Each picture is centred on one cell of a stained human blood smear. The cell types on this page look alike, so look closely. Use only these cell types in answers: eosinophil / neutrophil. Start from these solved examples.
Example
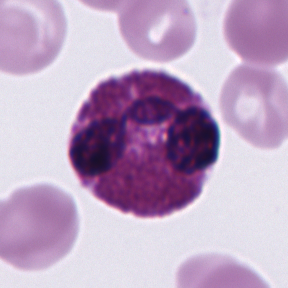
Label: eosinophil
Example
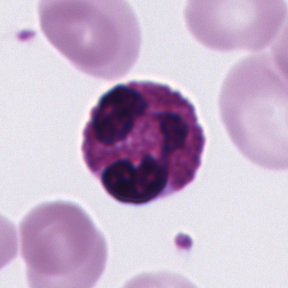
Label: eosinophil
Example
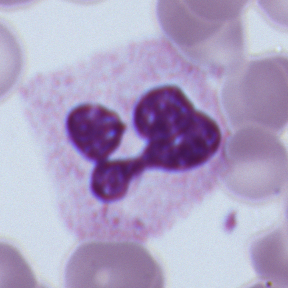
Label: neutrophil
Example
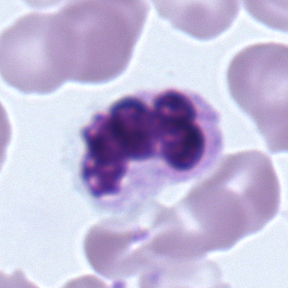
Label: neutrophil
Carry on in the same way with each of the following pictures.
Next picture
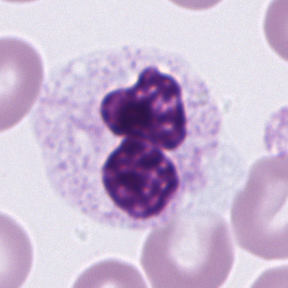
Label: neutrophil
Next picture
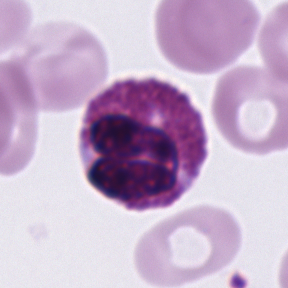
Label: eosinophil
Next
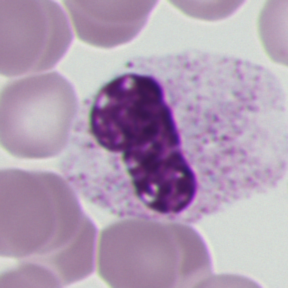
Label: neutrophil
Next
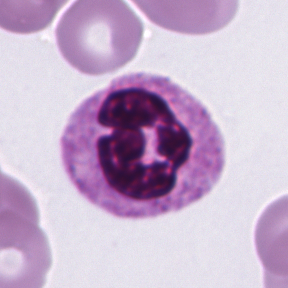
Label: neutrophil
